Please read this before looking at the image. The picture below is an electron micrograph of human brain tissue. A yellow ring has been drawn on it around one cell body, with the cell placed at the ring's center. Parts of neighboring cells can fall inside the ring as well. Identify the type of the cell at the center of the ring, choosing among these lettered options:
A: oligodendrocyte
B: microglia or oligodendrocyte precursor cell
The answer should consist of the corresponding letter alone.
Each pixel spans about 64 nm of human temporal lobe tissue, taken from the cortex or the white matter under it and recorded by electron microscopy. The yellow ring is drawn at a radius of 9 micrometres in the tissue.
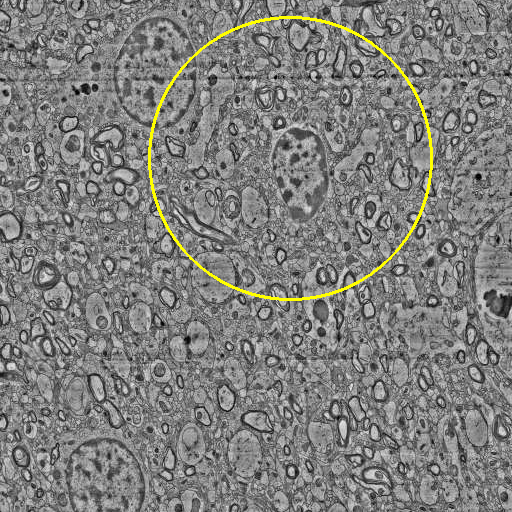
B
